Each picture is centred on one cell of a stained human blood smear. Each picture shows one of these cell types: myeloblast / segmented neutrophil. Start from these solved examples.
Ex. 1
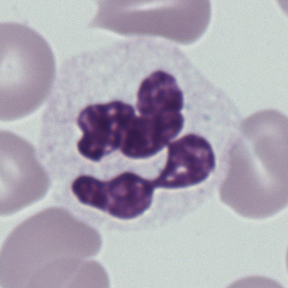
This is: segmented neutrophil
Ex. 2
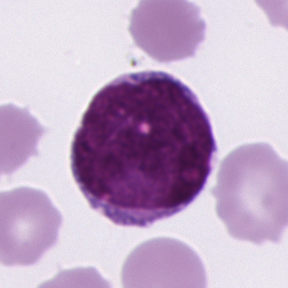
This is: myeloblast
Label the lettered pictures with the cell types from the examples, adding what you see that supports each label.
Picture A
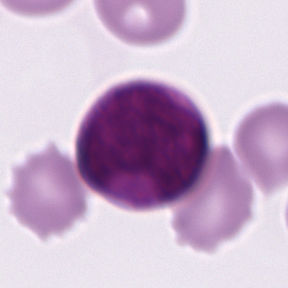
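myeloblast. Reason: The cytoplasm forms only a very thin rim around the nucleus.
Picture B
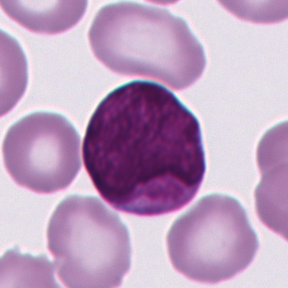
myeloblast. Reason: The cytoplasm forms only a narrow crescent at the lower edge of the cell.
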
